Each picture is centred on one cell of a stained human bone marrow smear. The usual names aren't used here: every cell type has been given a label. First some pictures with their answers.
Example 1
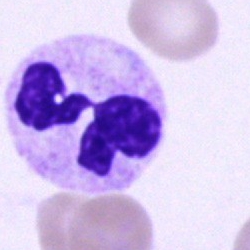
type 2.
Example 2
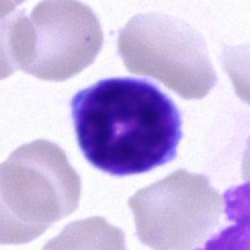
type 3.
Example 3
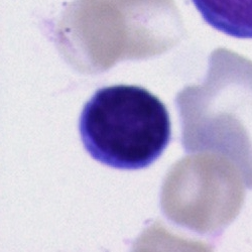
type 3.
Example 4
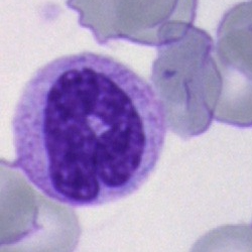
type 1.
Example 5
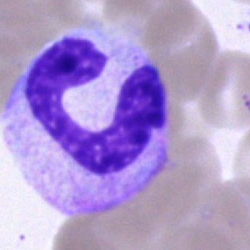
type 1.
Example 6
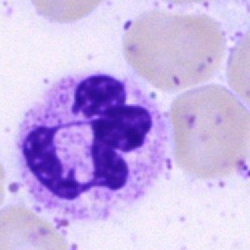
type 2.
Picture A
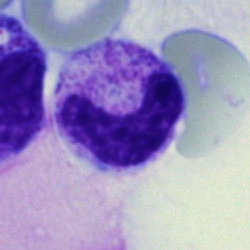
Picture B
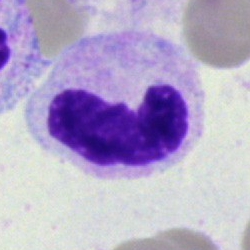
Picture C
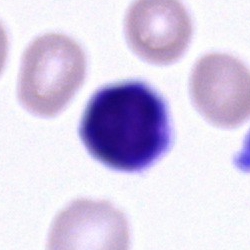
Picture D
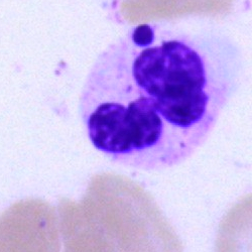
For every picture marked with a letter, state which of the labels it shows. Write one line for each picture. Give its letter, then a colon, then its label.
A: type 1.
B: type 1.
C: type 3.
D: type 2.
